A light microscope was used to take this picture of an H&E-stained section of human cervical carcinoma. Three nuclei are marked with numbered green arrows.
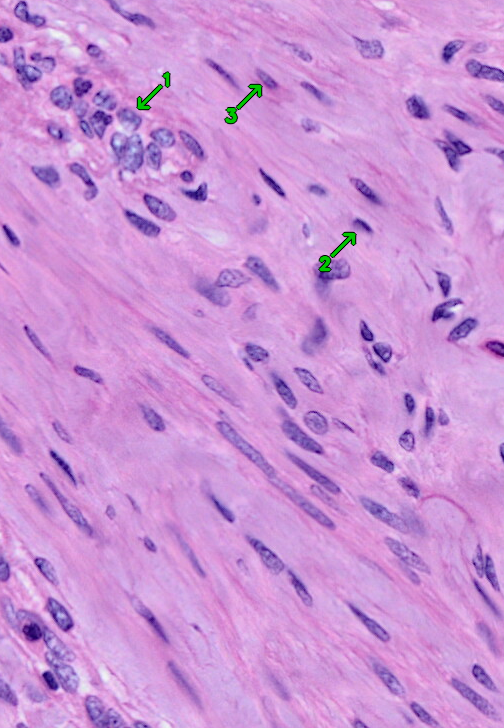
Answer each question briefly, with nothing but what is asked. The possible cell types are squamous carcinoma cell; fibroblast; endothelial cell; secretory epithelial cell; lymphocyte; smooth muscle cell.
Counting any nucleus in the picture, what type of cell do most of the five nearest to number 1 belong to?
endothelial cell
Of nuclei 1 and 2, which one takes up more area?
1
